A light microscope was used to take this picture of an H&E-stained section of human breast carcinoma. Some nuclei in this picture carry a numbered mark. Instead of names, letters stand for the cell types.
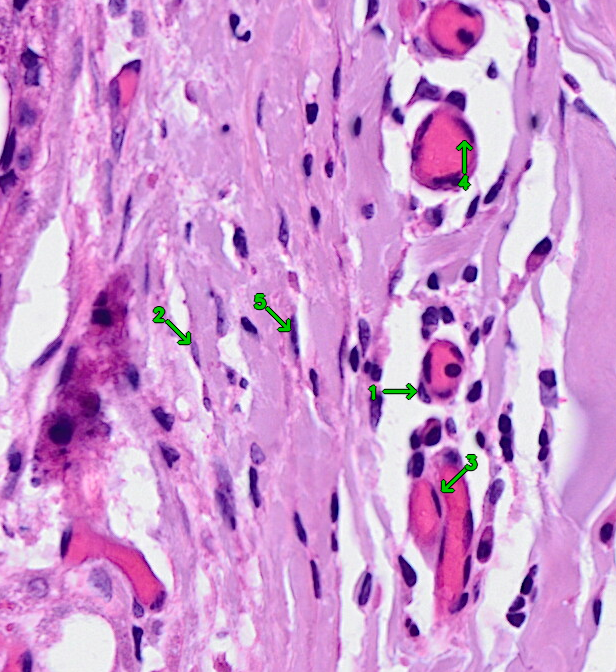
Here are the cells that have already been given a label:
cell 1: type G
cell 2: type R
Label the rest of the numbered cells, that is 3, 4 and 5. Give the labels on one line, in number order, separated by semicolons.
type G; type G; type R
